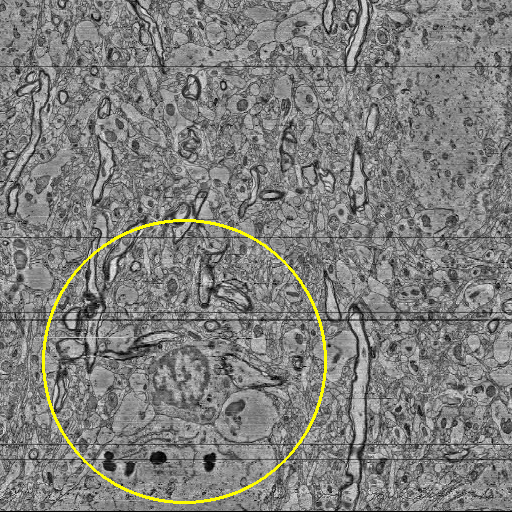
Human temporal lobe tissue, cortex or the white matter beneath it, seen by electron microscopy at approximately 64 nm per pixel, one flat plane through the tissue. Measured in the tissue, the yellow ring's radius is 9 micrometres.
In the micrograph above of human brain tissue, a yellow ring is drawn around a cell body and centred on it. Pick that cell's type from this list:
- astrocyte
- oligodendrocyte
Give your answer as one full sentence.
Going by the list, an oligodendrocyte is the cell on which the yellow ring is centred.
